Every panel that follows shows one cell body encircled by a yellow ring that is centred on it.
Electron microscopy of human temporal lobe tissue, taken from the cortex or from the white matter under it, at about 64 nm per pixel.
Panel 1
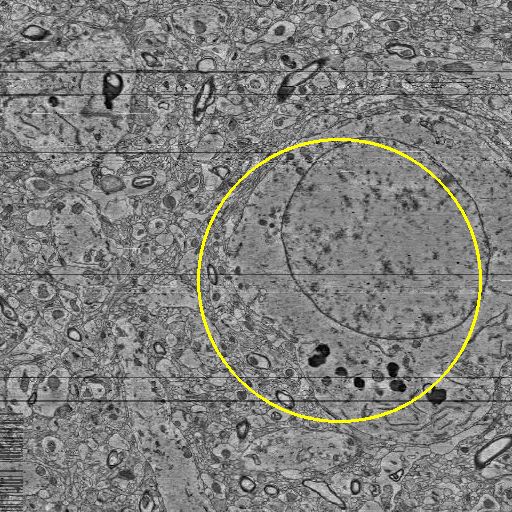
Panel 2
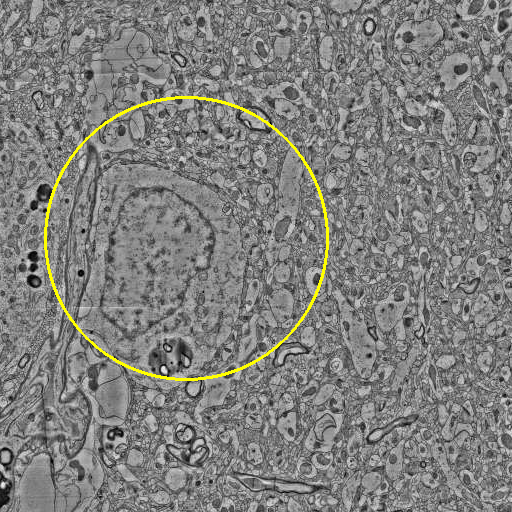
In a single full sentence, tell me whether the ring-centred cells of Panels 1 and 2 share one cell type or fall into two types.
In Panel 1 and Panel 2, the cells at the ring centres fall into two types.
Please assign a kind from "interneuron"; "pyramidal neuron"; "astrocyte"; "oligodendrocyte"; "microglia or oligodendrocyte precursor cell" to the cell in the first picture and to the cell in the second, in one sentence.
In the first picture we have a pyramidal neuron, and in the second, an interneuron.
